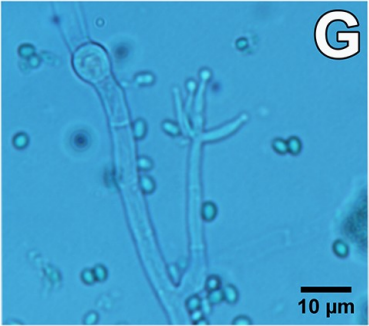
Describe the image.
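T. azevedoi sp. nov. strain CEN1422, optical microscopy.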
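Fungal hyphae with a chlamydospore and phialides. Nearby, a narrower hypha carries short side branches that taper toward their tips, forming simple phialides. Small round to oval conidia lie singly and in pairs scattered across the pale blue background around the hyphae. The hyphal walls are smooth and thin, with septa visible along their length.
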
